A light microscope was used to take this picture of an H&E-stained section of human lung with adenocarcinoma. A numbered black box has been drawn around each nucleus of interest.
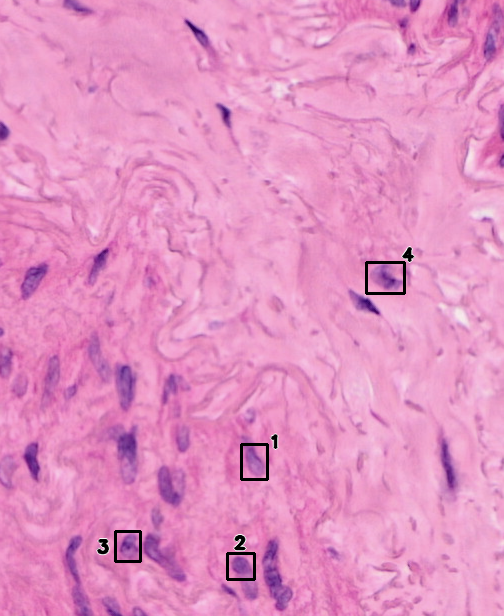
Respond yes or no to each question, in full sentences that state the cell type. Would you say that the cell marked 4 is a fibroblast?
Yes, in this section the cell numbered 4 is a fibroblast.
